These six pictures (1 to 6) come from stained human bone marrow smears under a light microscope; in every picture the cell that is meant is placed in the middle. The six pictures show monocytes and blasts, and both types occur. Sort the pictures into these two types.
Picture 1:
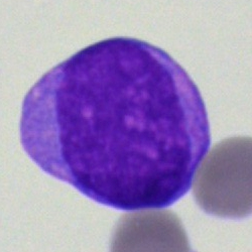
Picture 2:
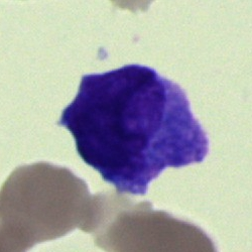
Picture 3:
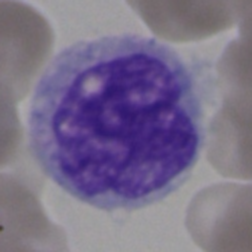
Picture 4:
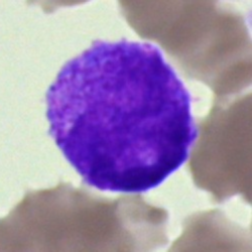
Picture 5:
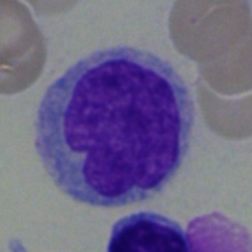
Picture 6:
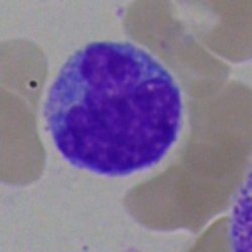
1: blast
2: blast
3: monocyte
4: blast
5: monocyte
6: monocyte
